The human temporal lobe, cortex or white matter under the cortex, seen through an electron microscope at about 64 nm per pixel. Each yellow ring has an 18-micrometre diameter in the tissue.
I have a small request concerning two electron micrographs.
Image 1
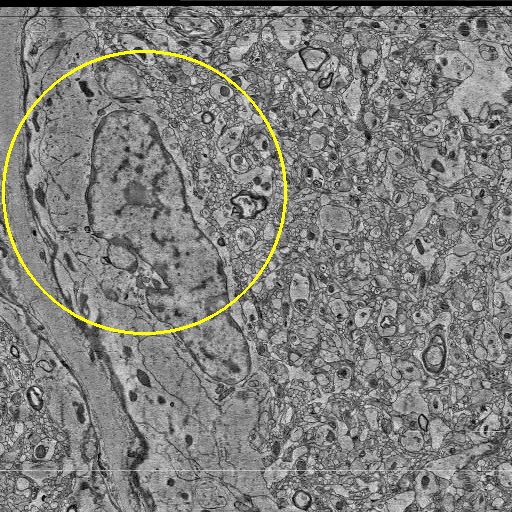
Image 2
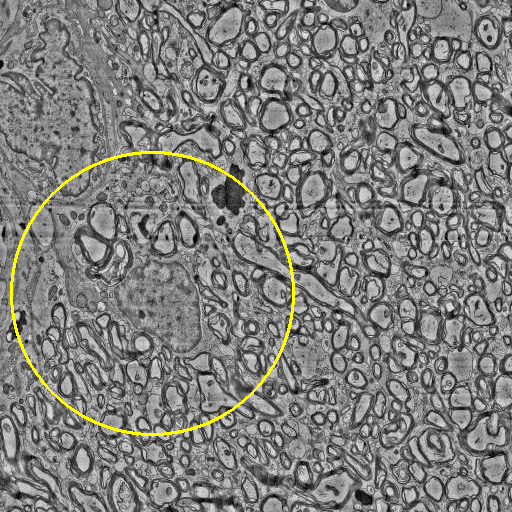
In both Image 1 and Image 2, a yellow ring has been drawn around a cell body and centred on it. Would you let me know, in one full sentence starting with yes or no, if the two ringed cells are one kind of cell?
No, the cells ringed in Image 1 and Image 2 are two kinds of cell.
